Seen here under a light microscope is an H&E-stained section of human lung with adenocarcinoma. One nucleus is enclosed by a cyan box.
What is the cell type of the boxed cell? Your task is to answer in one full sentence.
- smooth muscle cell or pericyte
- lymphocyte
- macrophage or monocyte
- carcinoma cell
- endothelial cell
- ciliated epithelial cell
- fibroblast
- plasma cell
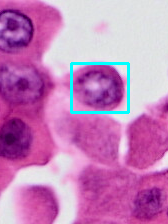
By cell type, the boxed cell is a carcinoma cell.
